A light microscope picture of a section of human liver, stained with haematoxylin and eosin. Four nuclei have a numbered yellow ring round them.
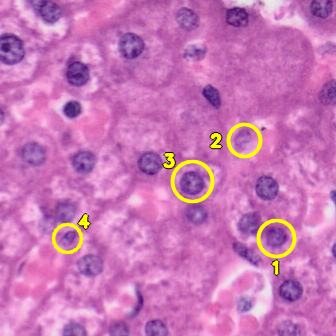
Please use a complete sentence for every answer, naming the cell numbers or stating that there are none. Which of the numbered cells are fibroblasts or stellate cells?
Among the numbered cells, the one that is a fibroblast or stellate cell is cell 4 alone.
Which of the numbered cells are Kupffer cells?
Cell 2 stands alone among the numbered cells as a Kupffer cell.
